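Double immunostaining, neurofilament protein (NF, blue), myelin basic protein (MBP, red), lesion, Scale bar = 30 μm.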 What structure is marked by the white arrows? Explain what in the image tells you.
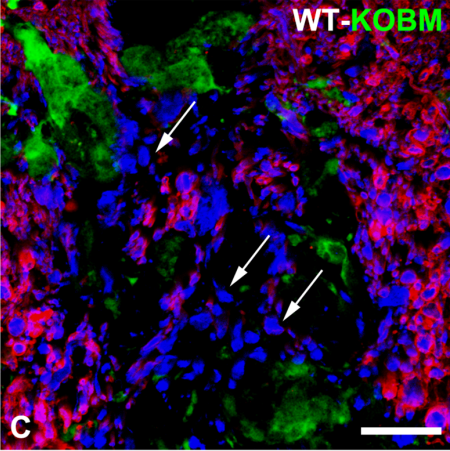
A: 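The arrows point to blue round profiles. The blue profiles at the arrows lack a surrounding red ring. Nearby blue profiles are enclosed by red rings.
Answer: Unmyelinated axons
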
